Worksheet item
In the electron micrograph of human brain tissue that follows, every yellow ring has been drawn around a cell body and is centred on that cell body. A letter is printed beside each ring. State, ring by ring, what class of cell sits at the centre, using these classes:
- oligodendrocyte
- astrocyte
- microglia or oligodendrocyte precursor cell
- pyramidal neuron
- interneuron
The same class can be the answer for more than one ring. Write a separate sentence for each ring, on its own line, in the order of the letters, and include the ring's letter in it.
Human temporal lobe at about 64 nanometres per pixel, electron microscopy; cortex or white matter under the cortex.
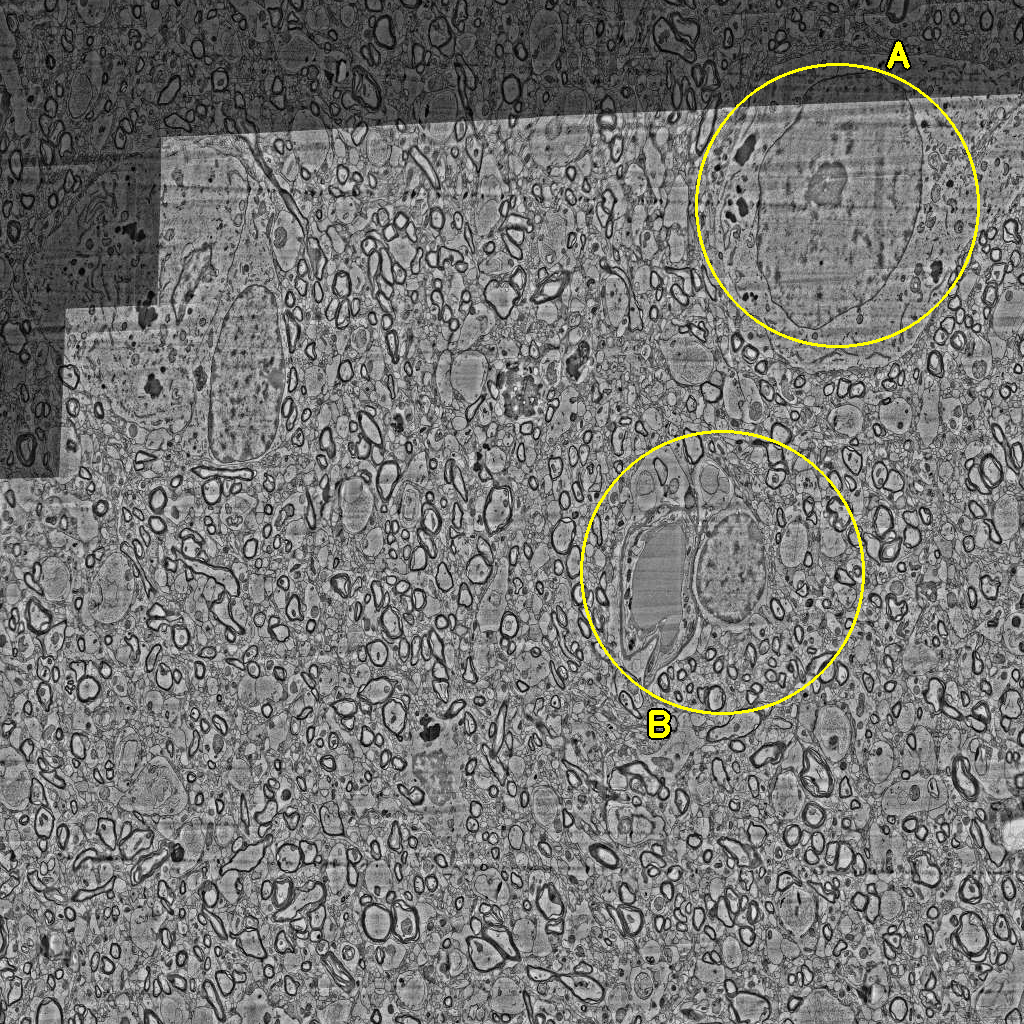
At the centre of ring A sits a pyramidal neuron.
At the centre of ring B sits an oligodendrocyte.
